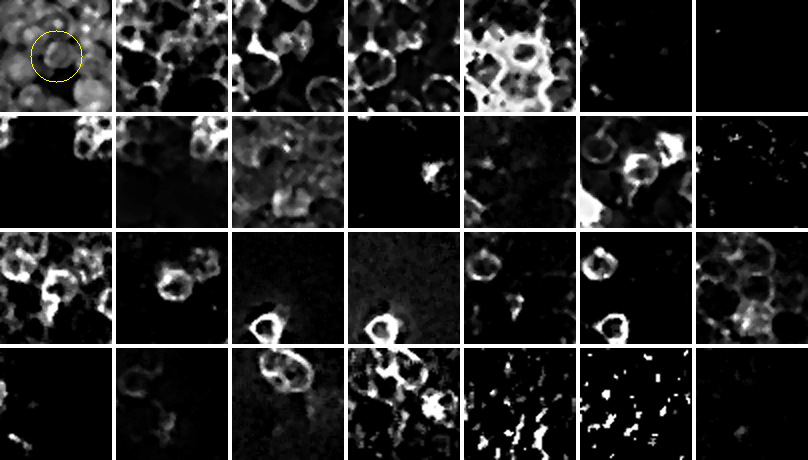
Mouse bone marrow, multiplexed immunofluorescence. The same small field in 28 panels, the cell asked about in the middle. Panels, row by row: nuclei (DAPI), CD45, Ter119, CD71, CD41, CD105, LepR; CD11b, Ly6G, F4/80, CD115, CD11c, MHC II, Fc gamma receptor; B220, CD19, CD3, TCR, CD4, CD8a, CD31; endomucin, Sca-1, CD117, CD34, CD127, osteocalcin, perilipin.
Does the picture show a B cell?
Yes.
